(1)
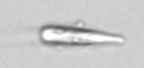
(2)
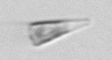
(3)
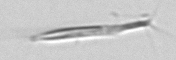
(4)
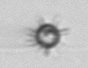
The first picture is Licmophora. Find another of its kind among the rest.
Picture 2.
